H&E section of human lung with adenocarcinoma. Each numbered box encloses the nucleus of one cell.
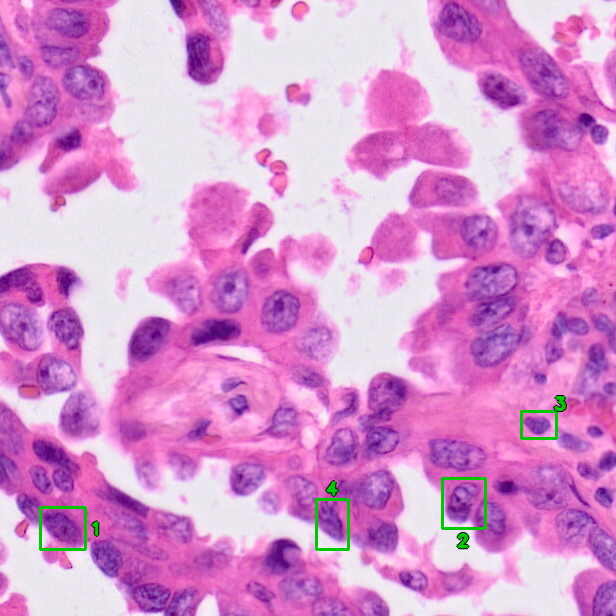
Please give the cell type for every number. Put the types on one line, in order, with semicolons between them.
carcinoma cell; carcinoma cell; lymphocyte; carcinoma cell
